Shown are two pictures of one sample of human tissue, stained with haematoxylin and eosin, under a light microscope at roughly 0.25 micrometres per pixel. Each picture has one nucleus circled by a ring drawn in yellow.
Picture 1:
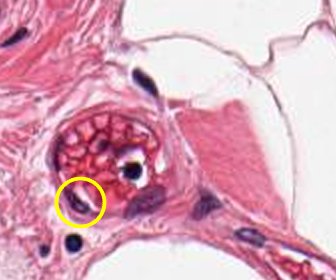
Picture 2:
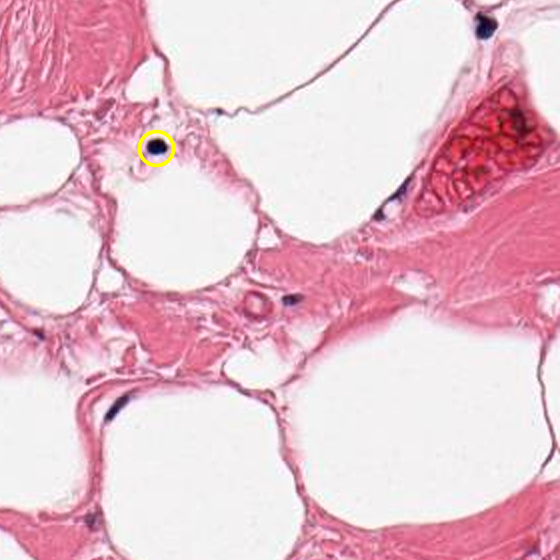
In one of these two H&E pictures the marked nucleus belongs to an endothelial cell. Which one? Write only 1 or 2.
1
